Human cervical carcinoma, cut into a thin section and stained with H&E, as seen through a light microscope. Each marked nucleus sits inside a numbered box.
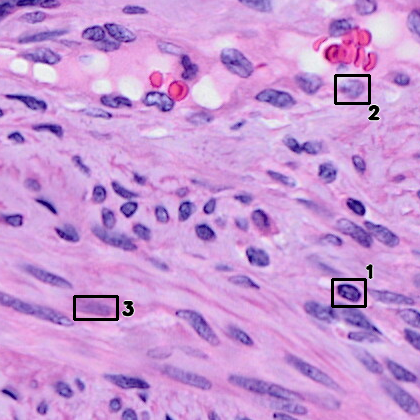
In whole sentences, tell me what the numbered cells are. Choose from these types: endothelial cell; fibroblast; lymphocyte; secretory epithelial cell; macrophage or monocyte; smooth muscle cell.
Cell 1 is a lymphocyte, cell 2 is an endothelial cell and cell 3 is a smooth muscle cell.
